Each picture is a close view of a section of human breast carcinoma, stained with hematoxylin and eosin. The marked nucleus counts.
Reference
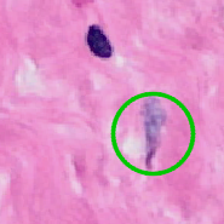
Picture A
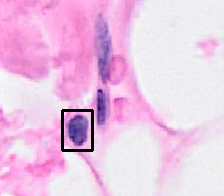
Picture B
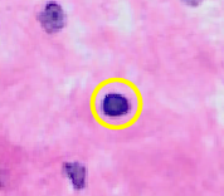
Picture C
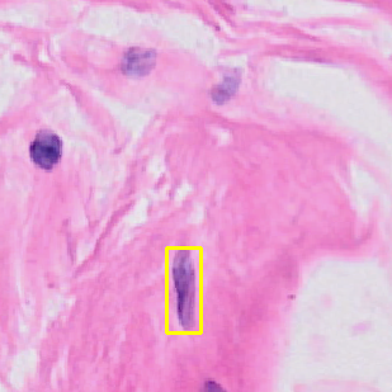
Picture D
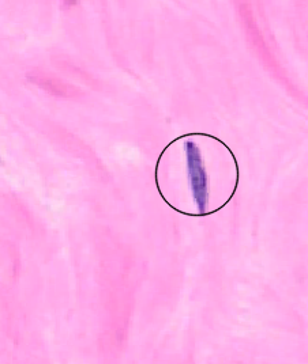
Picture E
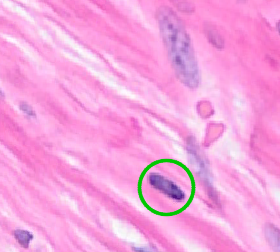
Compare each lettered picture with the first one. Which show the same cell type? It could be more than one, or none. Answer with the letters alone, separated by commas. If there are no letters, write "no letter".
C, D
